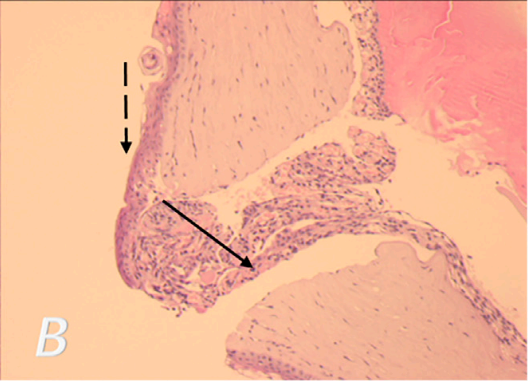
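This is a cross-section of cornea at a healing full-thickness wound, with two pale pink stromal blocks separated by a channel. The channel is partly filled by a strip of loose nucleated tissue with open clefts beside it, and a thin band of surface epithelium covers the outer surface over the wound edge.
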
